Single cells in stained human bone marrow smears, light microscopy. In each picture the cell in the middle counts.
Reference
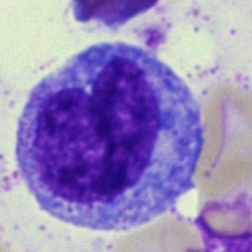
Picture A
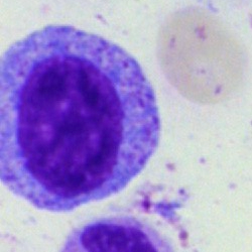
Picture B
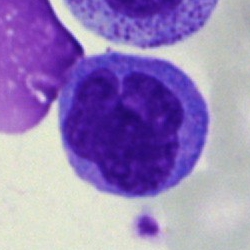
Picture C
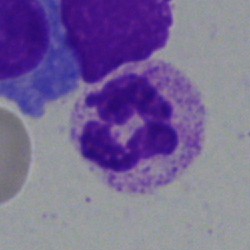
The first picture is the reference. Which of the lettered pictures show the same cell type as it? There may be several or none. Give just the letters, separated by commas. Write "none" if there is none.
A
